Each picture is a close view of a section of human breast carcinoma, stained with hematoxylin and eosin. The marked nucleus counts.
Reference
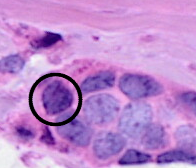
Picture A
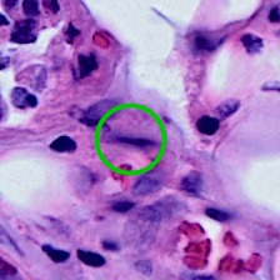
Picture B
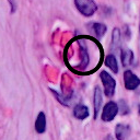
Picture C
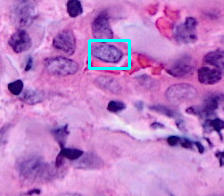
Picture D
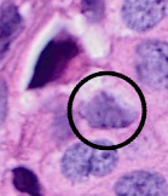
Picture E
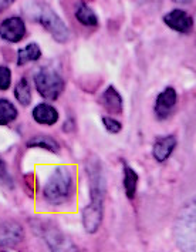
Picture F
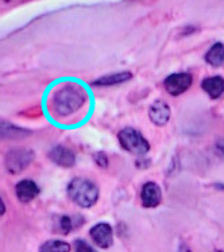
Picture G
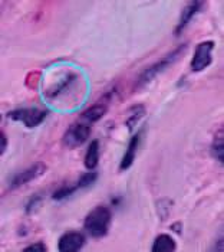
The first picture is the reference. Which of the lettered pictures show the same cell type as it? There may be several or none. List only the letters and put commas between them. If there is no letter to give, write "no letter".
D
